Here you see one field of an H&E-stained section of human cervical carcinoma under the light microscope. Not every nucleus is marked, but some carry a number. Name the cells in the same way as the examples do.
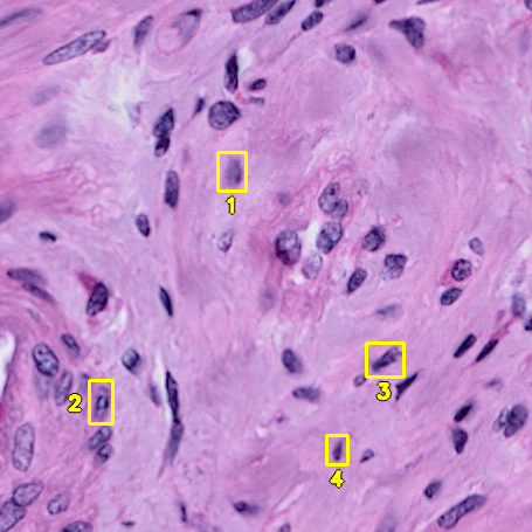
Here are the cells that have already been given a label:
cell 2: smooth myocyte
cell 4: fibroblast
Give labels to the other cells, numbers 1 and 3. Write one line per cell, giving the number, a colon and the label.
1: fibroblast
3: fibroblast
